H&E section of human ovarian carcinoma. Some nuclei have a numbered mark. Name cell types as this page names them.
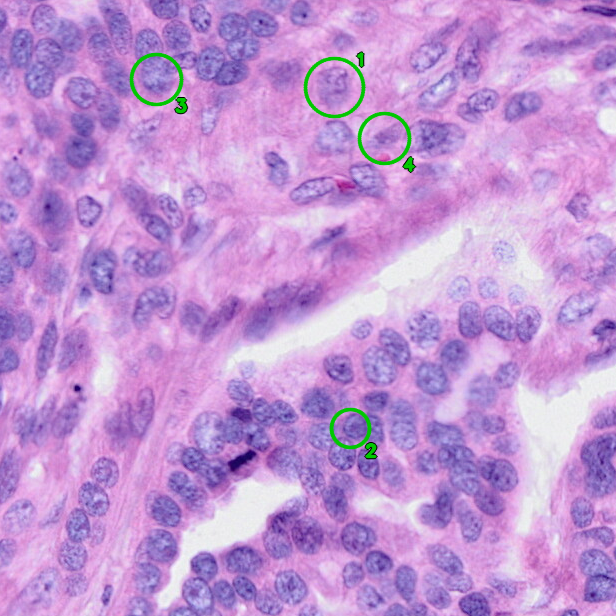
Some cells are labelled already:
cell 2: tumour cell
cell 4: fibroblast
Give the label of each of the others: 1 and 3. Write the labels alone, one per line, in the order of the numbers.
fibroblast
tumour cell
